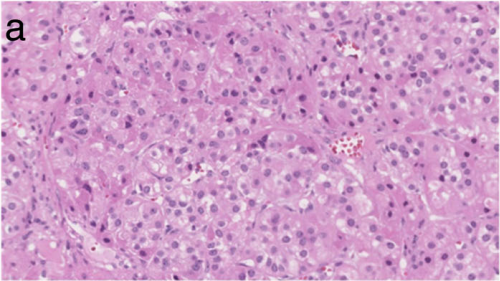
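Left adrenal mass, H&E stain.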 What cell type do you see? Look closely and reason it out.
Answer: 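Cells lie in nests separated by thin vessels. Nuclei are small, round and central. That points to this answer: eosinophilic compact cells.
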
